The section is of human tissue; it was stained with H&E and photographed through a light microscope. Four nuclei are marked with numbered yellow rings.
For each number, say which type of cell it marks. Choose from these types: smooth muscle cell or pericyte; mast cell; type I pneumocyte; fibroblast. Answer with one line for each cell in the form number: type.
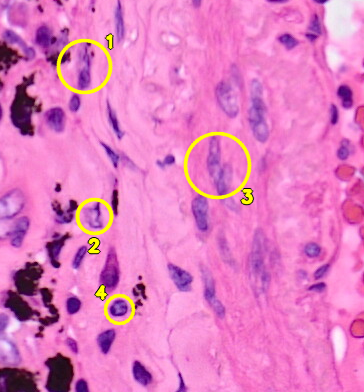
1: fibroblast
2: fibroblast
3: smooth muscle cell or pericyte
4: mast cell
